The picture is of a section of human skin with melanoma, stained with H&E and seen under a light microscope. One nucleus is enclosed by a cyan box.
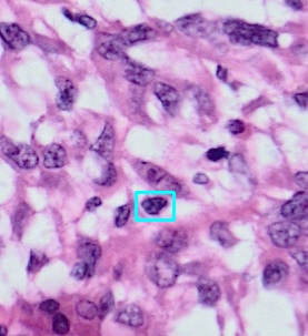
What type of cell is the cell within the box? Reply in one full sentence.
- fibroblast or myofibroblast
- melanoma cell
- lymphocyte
For the purposes of cell typing, the cell within the box is categorized as a lymphocyte.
